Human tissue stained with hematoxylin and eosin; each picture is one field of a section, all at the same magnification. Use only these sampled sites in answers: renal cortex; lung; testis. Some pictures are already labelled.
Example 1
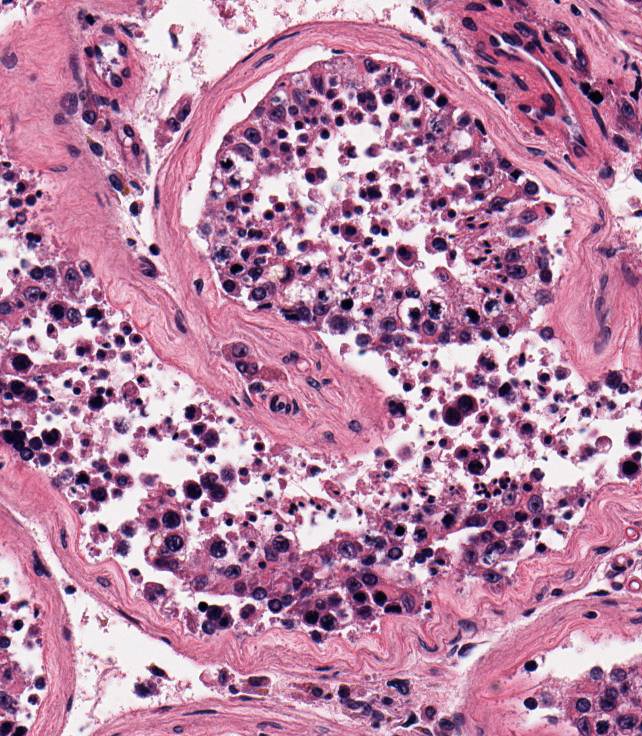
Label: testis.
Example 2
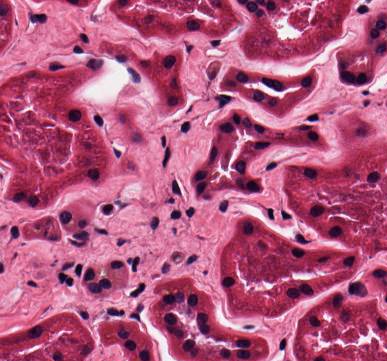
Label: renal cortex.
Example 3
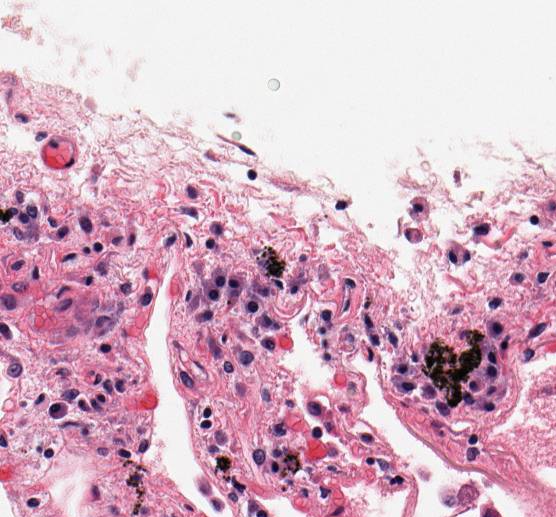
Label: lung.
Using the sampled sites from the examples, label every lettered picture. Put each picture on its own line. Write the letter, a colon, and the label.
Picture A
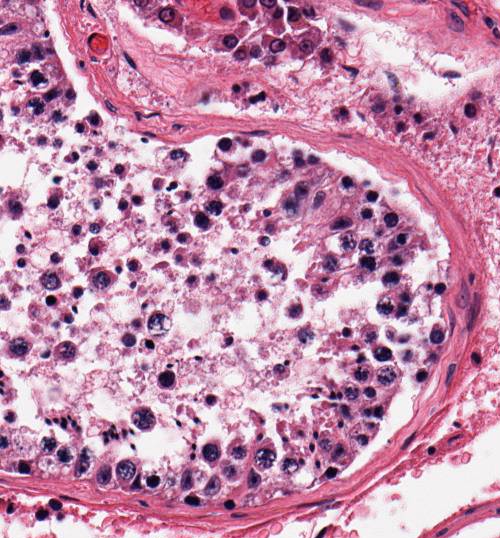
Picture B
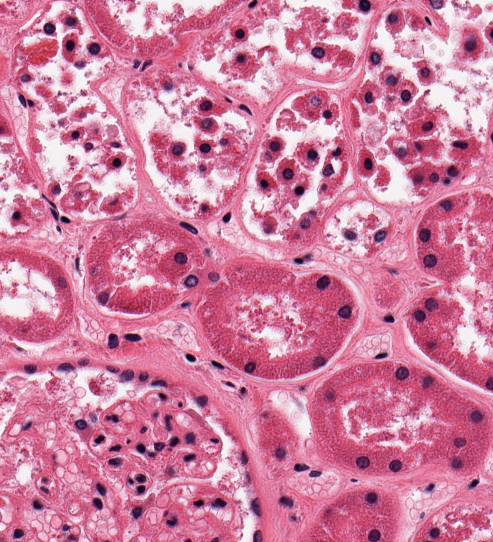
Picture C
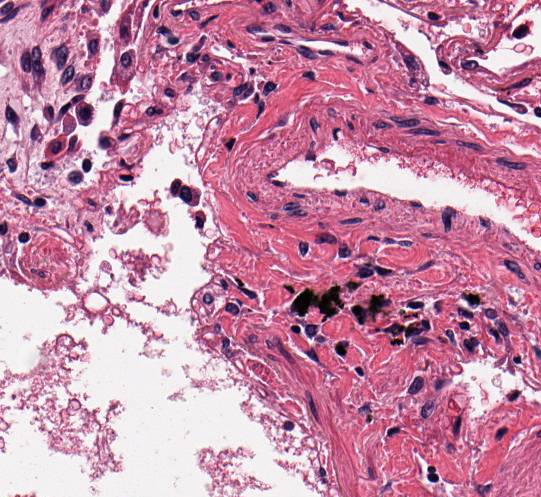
A: testis.
B: renal cortex.
C: lung.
